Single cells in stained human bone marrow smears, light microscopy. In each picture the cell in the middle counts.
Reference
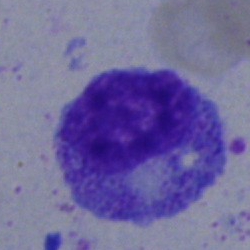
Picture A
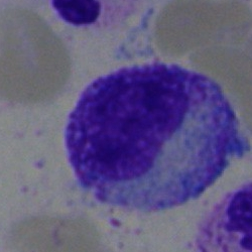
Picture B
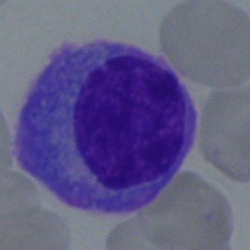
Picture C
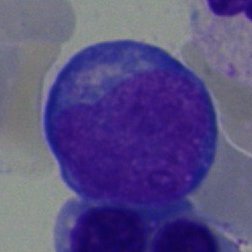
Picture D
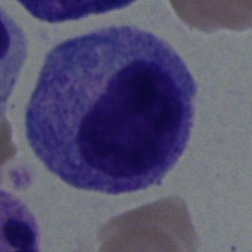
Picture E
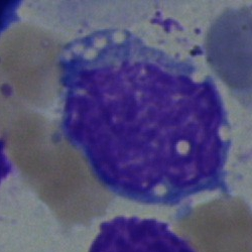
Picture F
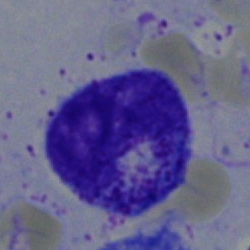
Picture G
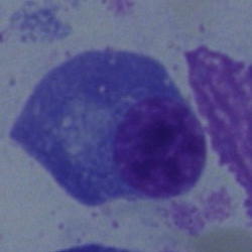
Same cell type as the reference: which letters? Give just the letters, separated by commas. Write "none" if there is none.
A, D, F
